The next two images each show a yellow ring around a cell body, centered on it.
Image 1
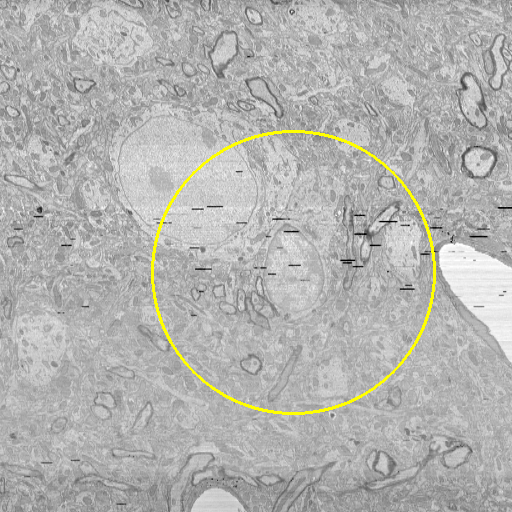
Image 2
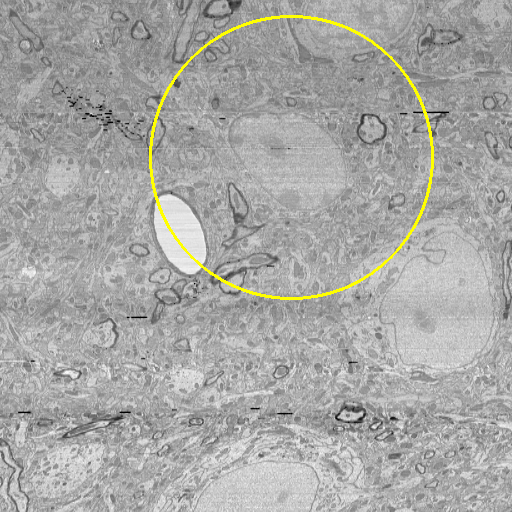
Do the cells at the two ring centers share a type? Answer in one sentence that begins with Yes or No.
No, across the two images the cells at the ring centers are of two types.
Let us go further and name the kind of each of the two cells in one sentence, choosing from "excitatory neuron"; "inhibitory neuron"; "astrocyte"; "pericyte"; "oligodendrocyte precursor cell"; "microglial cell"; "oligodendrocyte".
The ring of the first picture is on an oligodendrocyte, the ring of the second on an astrocyte.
